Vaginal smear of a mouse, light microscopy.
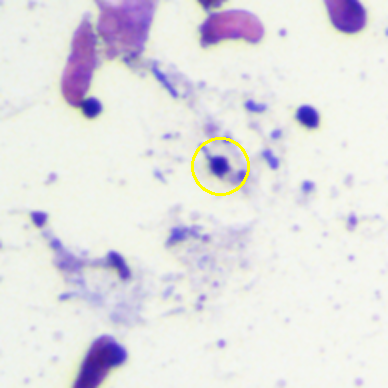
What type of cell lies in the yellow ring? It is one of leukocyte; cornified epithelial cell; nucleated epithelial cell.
The ringed cell is a leukocyte.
